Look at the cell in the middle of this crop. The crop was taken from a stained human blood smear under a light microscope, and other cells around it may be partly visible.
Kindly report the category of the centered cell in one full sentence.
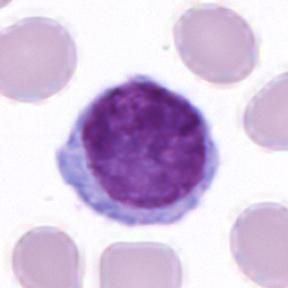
This crop has a plasma cell at its centre.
